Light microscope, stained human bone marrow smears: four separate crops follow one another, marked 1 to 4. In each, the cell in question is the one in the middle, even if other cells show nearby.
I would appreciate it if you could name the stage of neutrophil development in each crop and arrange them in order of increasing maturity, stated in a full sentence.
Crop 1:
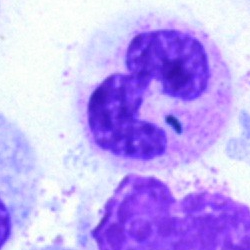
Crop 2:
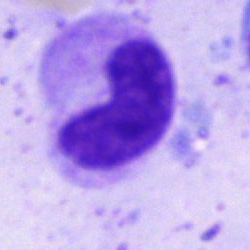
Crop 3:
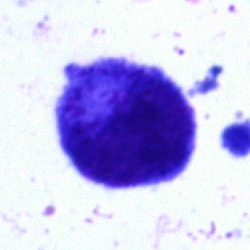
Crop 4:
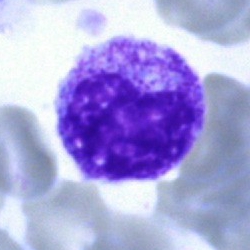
What results from ordering by maturity, least to most, is crop 3 (a promyelocyte), crop 4 (a myelocyte), crop 2 (a metamyelocyte) and crop 1 (a segmented neutrophil).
